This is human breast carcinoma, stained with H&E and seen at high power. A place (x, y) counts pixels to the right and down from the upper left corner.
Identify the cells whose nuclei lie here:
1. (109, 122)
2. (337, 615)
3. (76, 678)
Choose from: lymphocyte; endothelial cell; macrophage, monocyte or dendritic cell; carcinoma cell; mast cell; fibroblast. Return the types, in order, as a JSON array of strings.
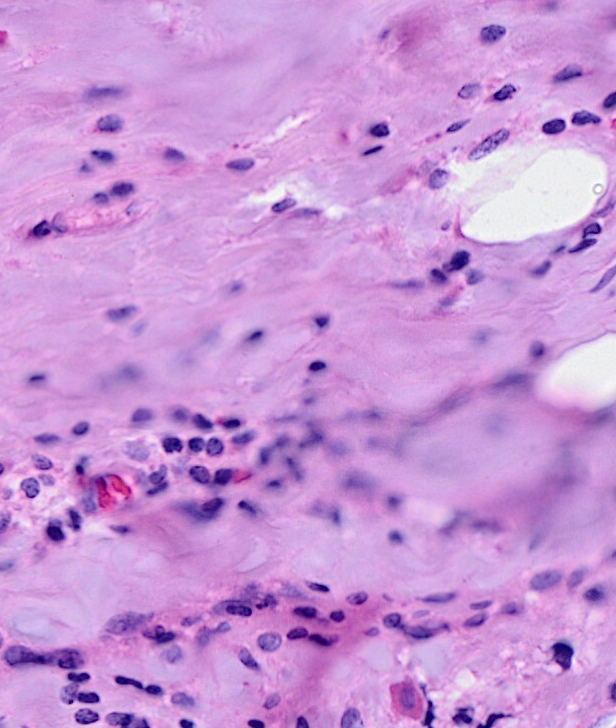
["mast cell", "lymphocyte", "lymphocyte"]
